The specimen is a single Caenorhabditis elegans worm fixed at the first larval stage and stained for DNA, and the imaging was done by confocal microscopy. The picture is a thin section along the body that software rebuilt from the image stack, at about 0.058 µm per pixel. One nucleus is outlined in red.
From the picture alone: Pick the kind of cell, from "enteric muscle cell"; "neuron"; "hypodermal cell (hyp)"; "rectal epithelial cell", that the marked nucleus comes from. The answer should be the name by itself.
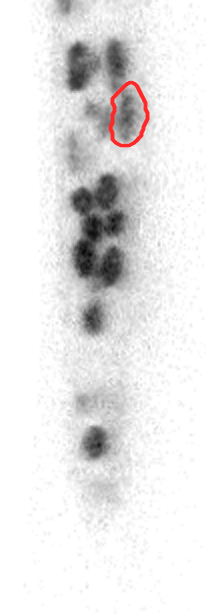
enteric muscle cell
